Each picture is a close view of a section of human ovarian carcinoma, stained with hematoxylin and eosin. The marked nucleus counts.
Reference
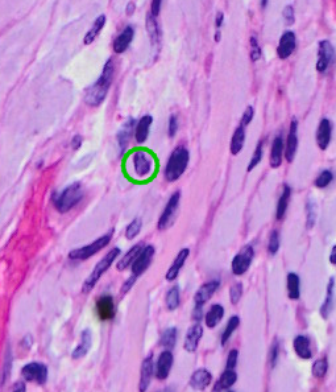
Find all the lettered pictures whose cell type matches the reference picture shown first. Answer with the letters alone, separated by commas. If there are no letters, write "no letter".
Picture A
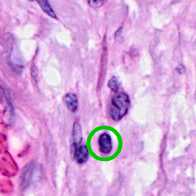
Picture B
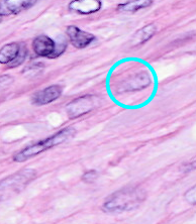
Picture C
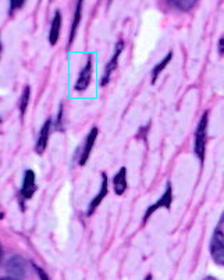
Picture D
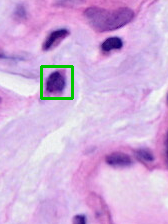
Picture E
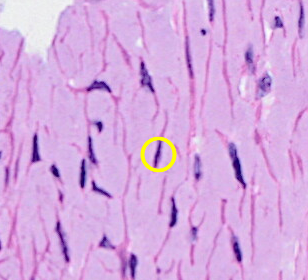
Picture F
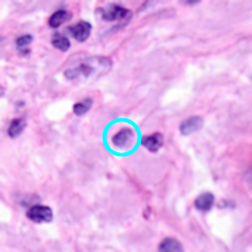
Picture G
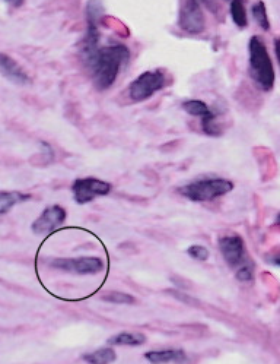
A, D, F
